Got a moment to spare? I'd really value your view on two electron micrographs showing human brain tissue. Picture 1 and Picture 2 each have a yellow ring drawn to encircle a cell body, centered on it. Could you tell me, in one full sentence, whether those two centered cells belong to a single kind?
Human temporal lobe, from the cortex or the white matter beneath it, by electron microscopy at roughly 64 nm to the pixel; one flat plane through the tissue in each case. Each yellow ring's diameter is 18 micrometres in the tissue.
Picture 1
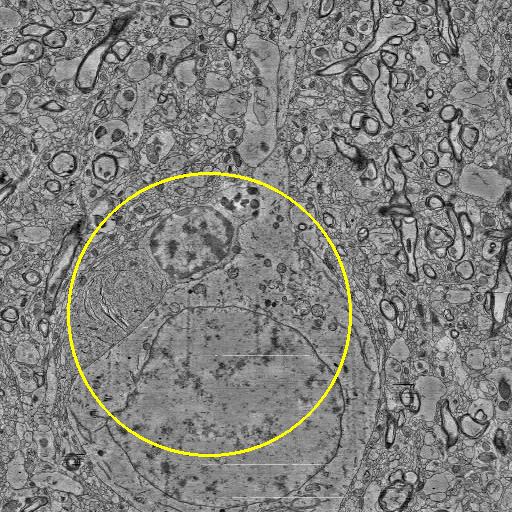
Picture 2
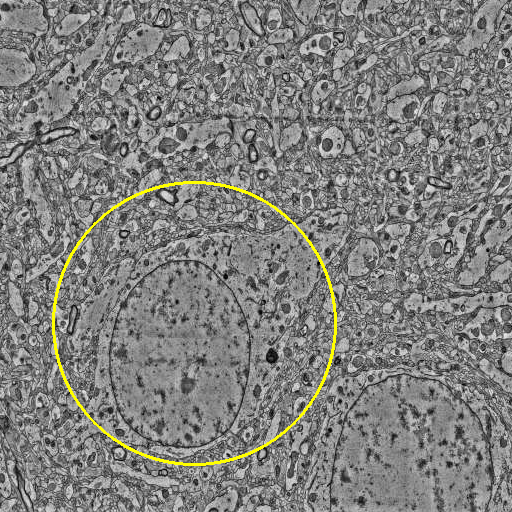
Yes, the two centered cells in Picture 1 and Picture 2 are of a single kind.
